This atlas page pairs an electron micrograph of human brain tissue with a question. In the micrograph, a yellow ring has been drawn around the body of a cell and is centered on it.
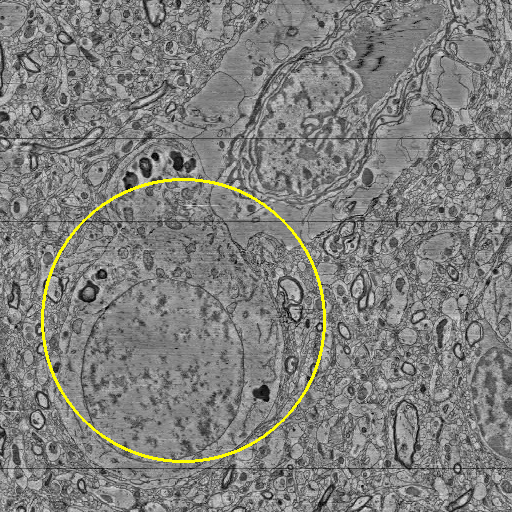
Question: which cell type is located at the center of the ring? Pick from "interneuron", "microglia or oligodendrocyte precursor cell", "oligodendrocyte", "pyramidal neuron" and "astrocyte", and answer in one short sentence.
Located at the center of the ring is a pyramidal neuron.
